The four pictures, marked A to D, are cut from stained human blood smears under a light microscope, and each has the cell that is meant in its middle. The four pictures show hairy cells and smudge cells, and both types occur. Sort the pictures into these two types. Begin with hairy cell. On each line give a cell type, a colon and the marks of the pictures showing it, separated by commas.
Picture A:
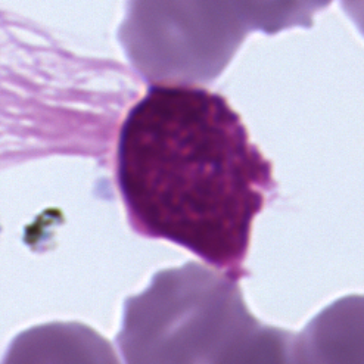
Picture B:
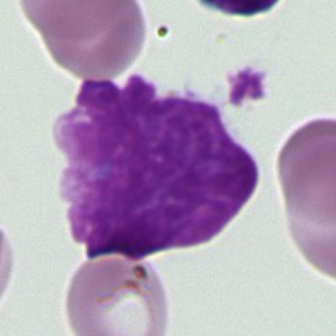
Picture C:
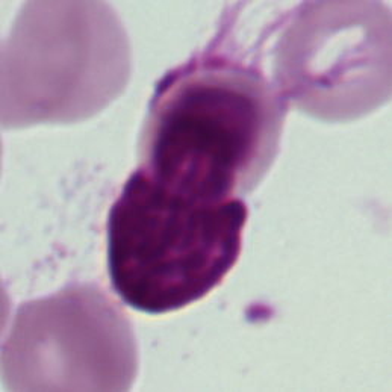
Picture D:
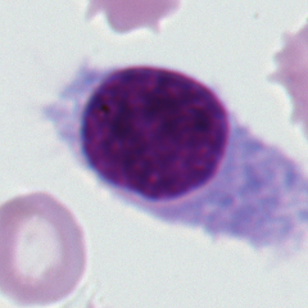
hairy cell: D
smudge cell: A, B, C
